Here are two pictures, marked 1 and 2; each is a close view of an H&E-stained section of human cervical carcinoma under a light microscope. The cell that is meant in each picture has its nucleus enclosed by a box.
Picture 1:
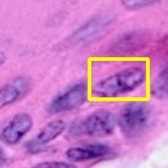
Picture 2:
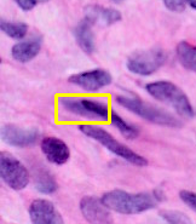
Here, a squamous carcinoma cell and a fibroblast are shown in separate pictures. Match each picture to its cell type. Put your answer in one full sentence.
Picture 1 shows a squamous carcinoma cell and picture 2 shows a fibroblast.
